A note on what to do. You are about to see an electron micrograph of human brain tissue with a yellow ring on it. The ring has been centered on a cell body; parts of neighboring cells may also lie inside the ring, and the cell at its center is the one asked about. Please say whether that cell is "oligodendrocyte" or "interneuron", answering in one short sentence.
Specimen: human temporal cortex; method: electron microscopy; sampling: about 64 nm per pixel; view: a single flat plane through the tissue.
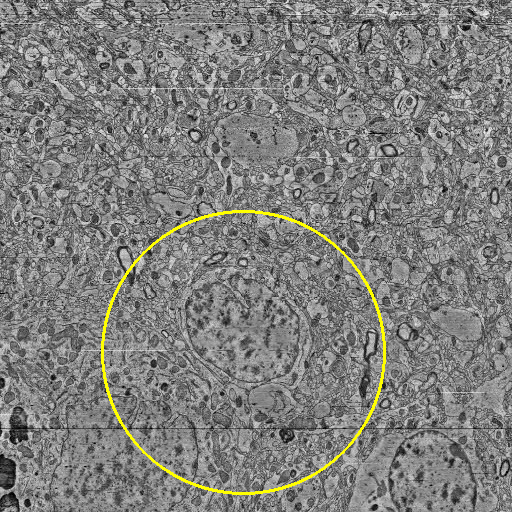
The yellow ring sits on an interneuron.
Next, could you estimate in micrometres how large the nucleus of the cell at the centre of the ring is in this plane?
Approximately 8 x 6 micrometres in this plane.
